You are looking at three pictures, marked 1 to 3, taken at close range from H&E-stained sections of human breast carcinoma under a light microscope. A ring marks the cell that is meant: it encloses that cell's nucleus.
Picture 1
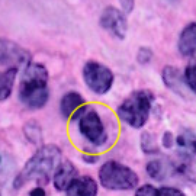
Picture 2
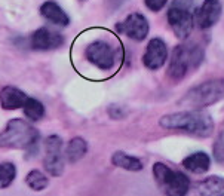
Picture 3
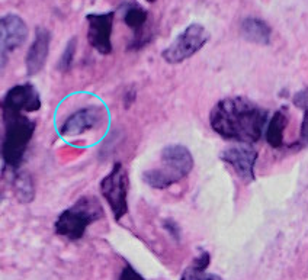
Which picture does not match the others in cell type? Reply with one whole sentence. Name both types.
Picture 3 is the odd one out: it shows an endothelial cell, while the others show lymphocytes.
